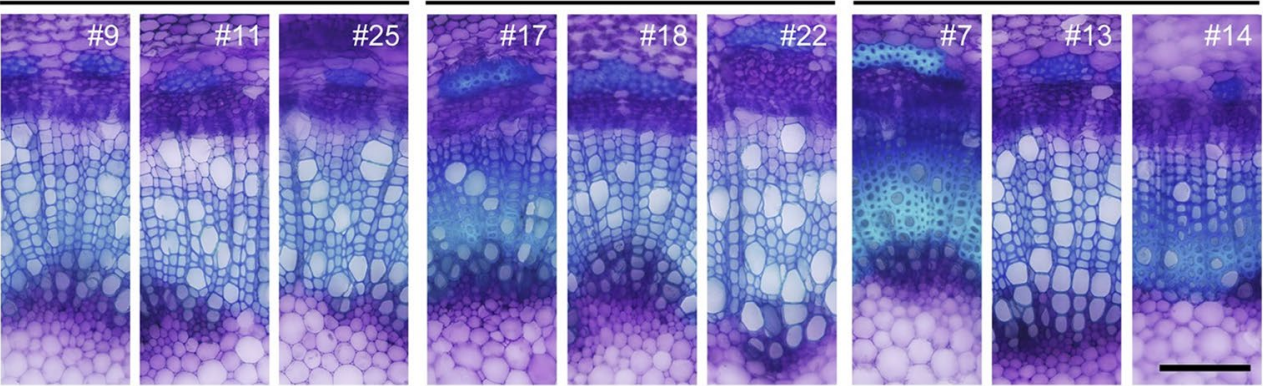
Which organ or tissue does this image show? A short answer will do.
Xylem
